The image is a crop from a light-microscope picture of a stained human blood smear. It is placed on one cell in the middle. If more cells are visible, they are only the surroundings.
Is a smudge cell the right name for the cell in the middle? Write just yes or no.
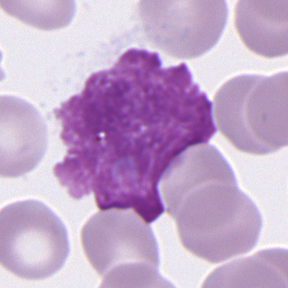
yes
